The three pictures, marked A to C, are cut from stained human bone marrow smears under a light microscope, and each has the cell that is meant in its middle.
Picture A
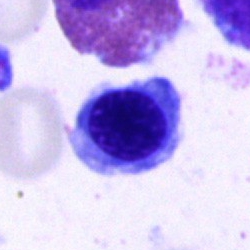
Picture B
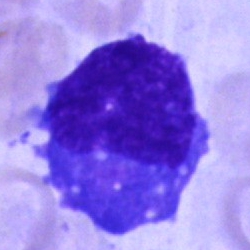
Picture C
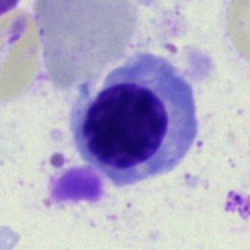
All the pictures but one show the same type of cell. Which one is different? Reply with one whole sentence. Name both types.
Unlike the rest, which show erythroblasts, picture B shows a blast.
